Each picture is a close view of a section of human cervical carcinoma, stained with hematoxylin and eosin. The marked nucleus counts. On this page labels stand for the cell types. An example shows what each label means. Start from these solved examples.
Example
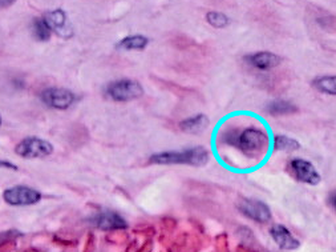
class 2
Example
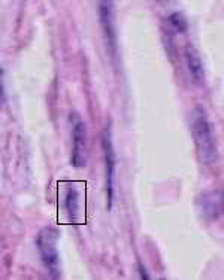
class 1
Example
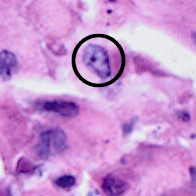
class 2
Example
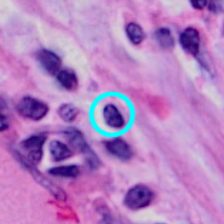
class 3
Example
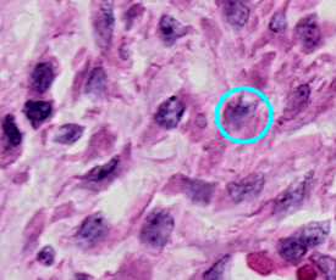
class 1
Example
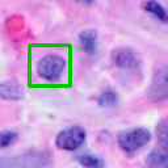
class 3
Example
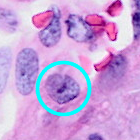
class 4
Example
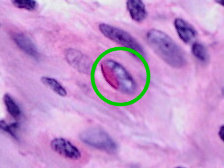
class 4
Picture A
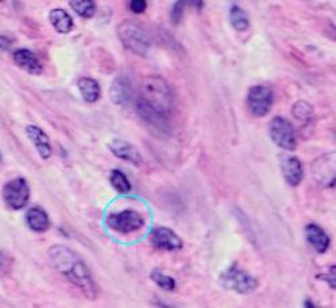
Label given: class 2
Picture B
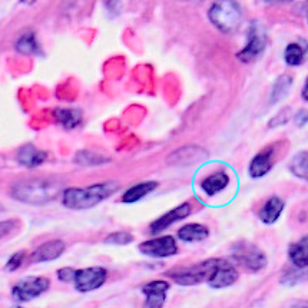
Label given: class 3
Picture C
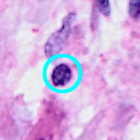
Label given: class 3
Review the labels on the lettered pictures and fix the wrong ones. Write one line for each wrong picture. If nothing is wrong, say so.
A: not class 2 but class 3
